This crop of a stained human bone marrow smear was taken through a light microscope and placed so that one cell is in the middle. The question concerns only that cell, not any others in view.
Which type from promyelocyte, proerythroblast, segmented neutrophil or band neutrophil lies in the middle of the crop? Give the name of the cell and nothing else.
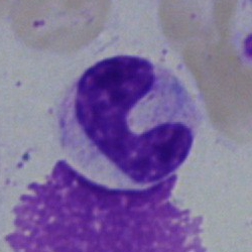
band neutrophil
